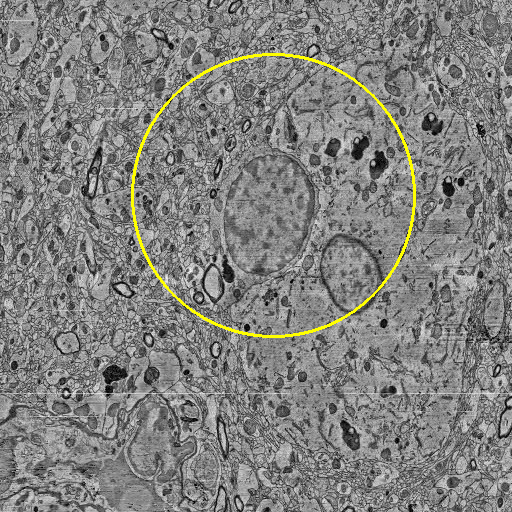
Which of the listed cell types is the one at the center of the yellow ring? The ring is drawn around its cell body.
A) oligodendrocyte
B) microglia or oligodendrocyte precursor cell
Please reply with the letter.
A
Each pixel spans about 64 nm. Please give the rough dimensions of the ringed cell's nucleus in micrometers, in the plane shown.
In this plane, the nucleus of the cell at the centre of the ring measures about 8 by 5 micrometres.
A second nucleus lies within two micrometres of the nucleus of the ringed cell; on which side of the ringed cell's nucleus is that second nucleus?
The other nucleus is positioned to the lower right of it.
